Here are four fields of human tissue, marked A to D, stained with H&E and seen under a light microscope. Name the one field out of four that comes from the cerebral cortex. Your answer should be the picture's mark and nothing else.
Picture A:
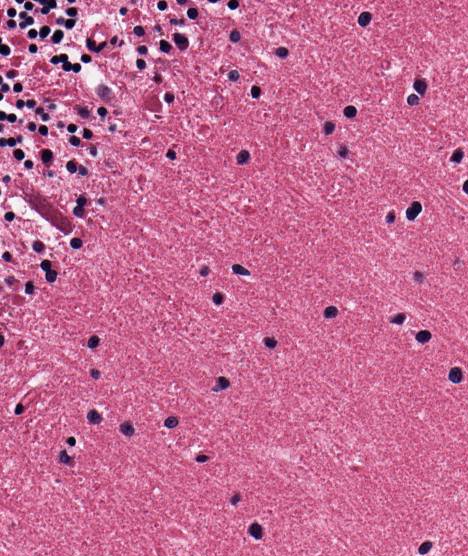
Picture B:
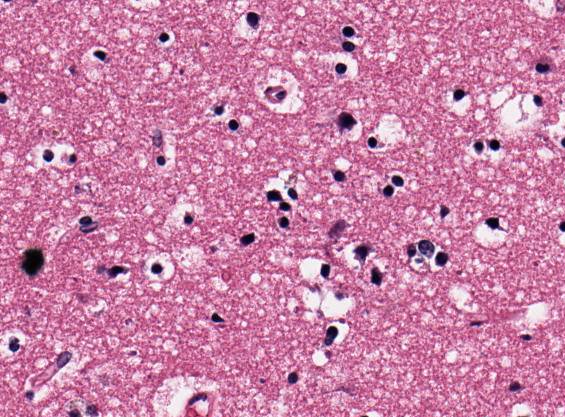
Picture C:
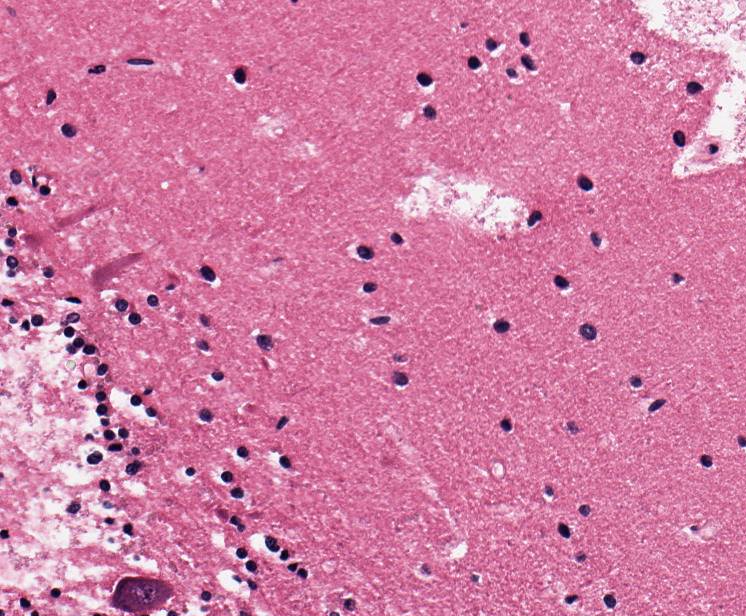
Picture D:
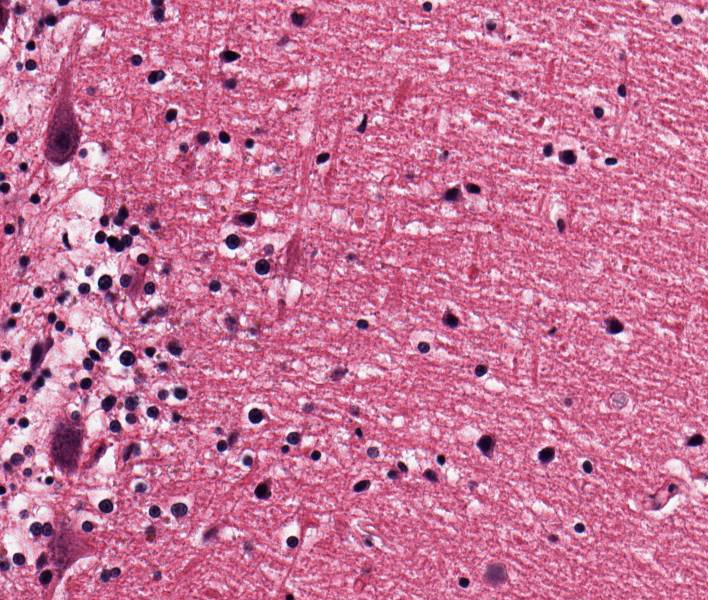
B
